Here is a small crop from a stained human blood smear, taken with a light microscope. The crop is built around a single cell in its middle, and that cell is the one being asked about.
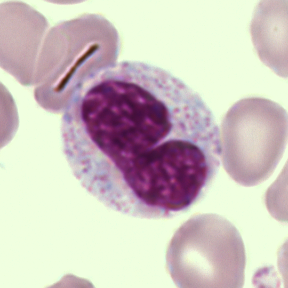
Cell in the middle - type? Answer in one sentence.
The cell at the middle of the crop is recognized as a band neutrophil.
